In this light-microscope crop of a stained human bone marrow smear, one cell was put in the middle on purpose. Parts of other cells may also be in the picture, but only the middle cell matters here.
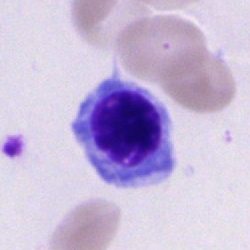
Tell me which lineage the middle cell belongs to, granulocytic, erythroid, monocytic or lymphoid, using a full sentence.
The lineage represented by the central cell is erythroid.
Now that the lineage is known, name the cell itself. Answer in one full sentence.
In the central position of this crop, the cell is an erythroblast.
